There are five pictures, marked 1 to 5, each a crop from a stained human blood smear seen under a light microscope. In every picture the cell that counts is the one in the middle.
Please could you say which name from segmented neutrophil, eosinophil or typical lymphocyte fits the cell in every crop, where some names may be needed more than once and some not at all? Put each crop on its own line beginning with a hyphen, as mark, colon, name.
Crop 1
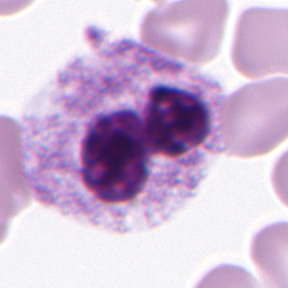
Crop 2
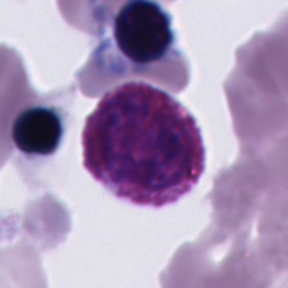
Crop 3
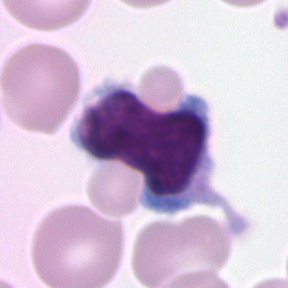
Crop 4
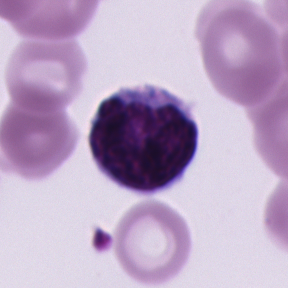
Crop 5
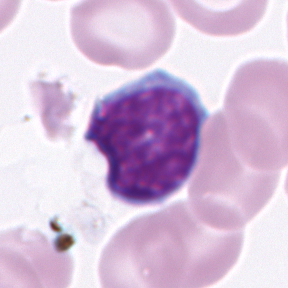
- 1: segmented neutrophil
- 2: eosinophil
- 3: typical lymphocyte
- 4: typical lymphocyte
- 5: typical lymphocyte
